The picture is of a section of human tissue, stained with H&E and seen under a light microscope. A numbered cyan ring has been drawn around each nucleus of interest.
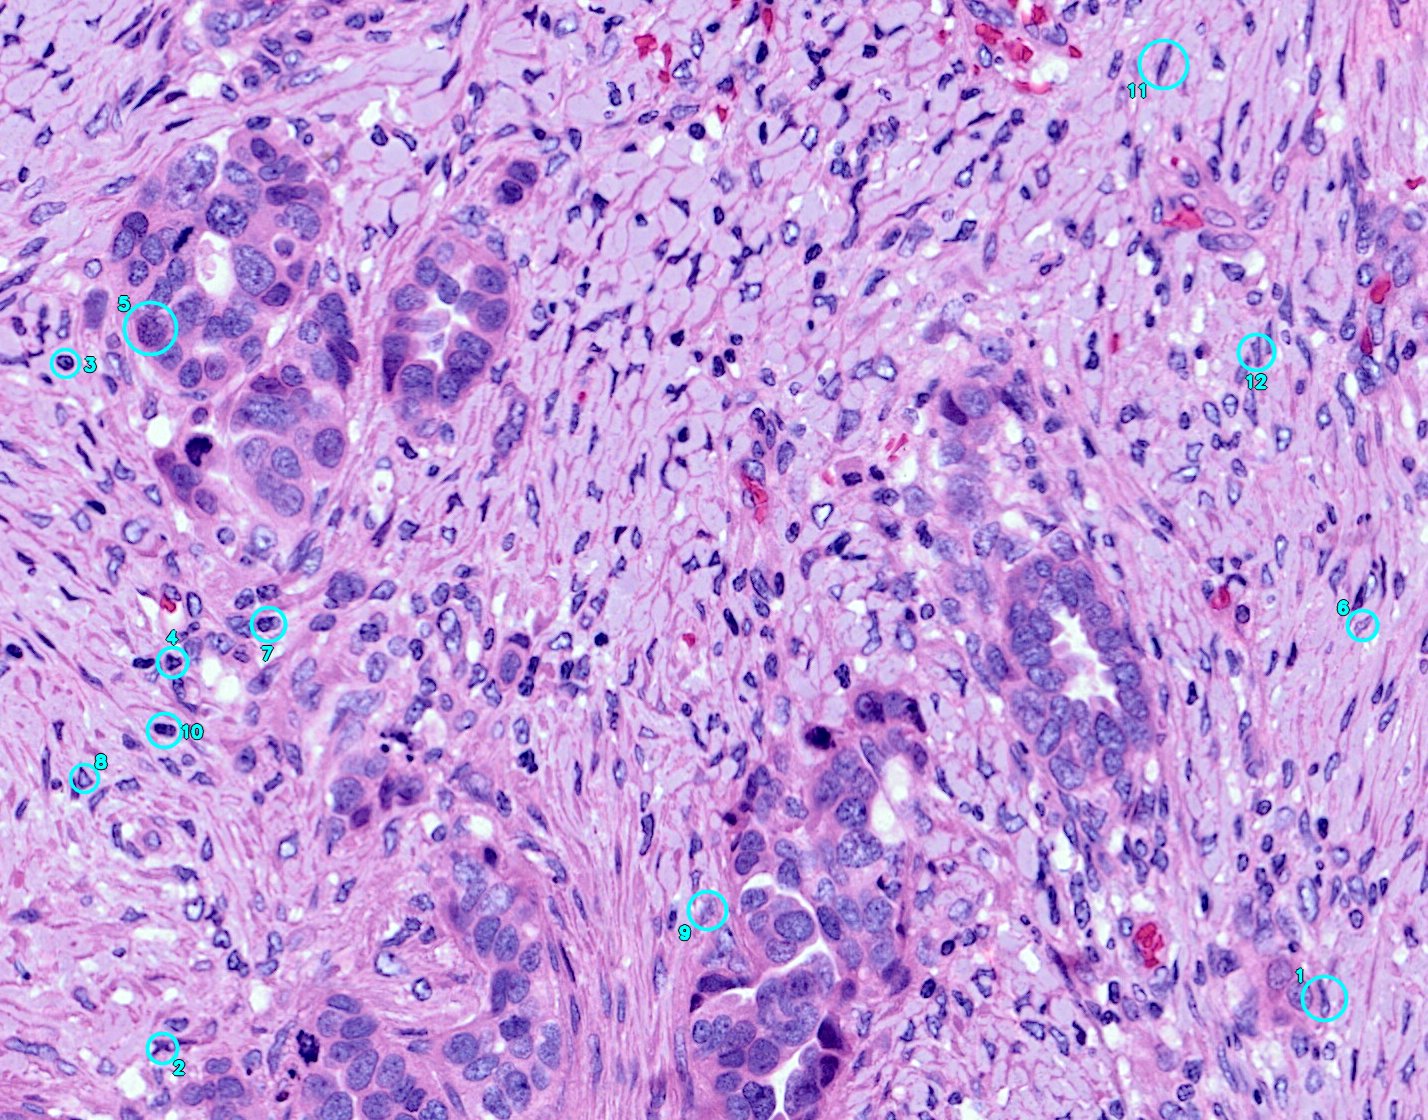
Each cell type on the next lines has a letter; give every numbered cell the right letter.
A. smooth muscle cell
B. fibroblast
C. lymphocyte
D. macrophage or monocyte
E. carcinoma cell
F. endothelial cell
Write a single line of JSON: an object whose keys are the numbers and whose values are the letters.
{"1": "B", "2": "B", "3": "C", "4": "C", "5": "E", "6": "B", "7": "C", "8": "B", "9": "B", "10": "C", "11": "B", "12": "B"}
